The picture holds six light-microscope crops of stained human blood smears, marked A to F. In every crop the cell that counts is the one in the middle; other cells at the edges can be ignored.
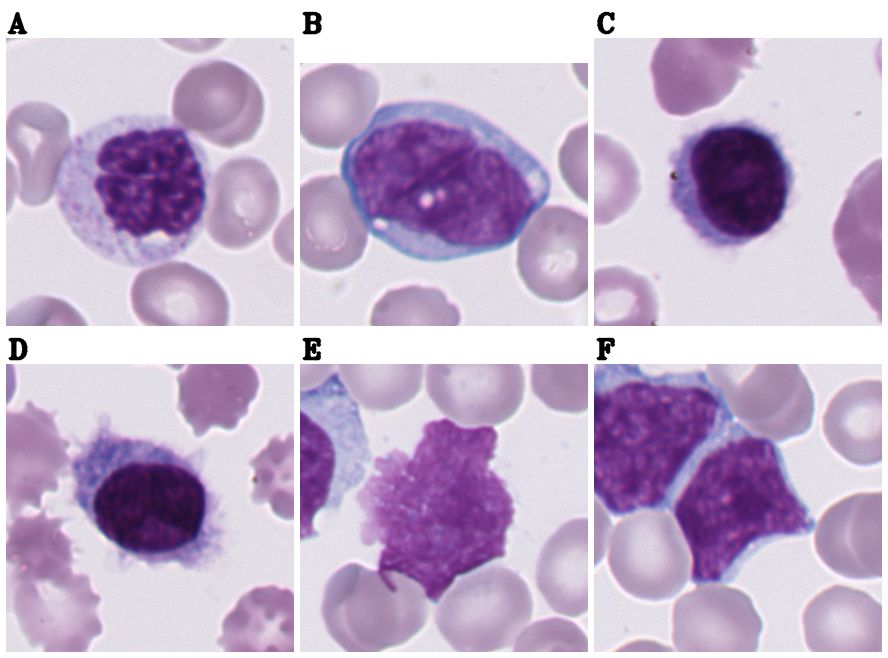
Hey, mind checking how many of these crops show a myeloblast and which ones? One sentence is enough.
The crop showing a myeloblast is crop B, and it is the only one.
